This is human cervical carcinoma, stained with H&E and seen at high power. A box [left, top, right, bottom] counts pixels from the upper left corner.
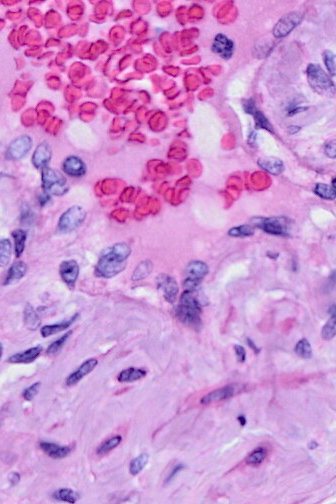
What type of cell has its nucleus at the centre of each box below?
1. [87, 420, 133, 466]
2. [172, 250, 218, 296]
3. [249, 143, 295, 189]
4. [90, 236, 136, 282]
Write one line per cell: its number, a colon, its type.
1: smooth muscle cell
2: endothelial cell
3: endothelial cell
4: endothelial cell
